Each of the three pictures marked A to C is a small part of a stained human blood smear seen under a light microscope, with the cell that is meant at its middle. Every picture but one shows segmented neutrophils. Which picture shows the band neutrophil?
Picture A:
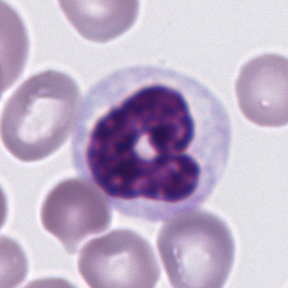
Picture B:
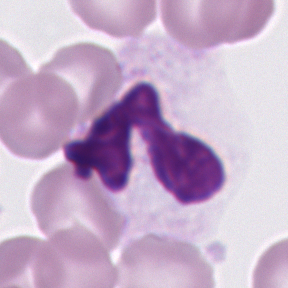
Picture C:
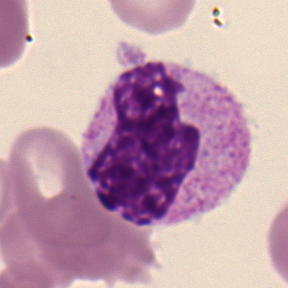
A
